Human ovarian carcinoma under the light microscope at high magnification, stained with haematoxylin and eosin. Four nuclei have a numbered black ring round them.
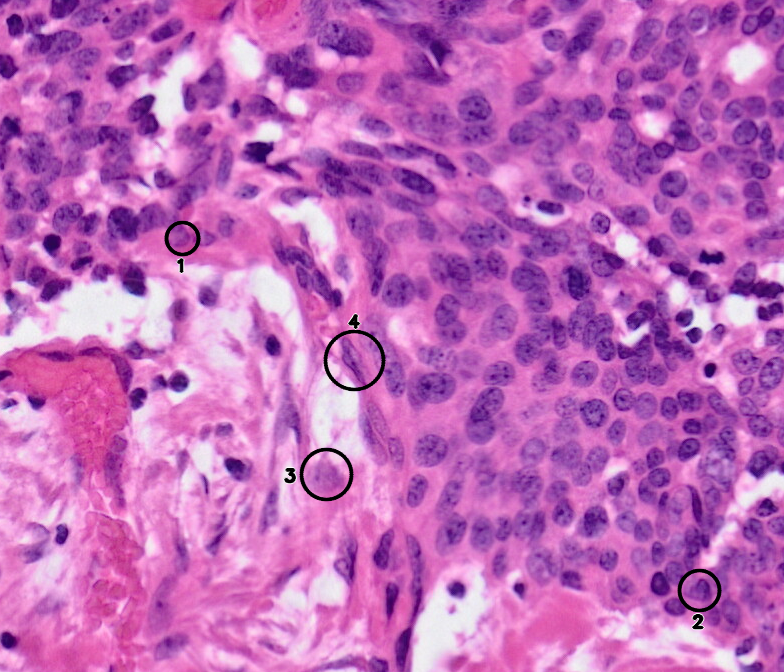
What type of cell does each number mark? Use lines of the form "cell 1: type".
cell 1: endothelial cell
cell 2: carcinoma cell
cell 3: fibroblast
cell 4: endothelial cell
